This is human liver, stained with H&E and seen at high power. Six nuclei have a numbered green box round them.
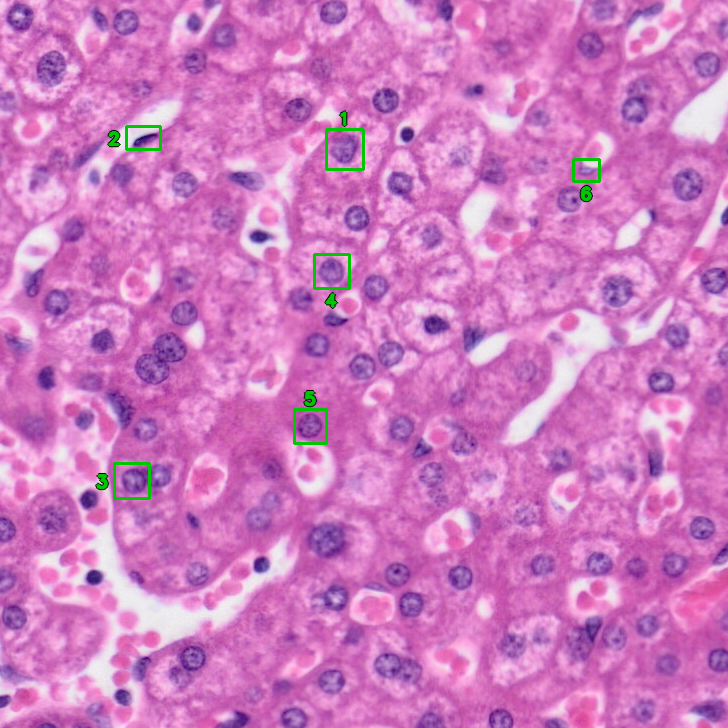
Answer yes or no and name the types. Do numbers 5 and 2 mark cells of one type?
No, classify cell 5 as a hepatocyte and cell 2 as an endothelial cell.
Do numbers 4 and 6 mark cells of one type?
No, rather, cell 4 is a hepatocyte and cell 6 is an endothelial cell.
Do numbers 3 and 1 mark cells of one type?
Yes, cells 3 and 1 both qualify as hepatocytes.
